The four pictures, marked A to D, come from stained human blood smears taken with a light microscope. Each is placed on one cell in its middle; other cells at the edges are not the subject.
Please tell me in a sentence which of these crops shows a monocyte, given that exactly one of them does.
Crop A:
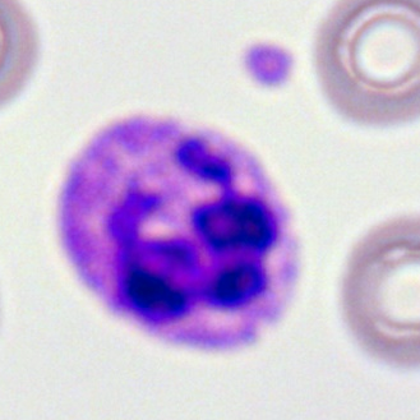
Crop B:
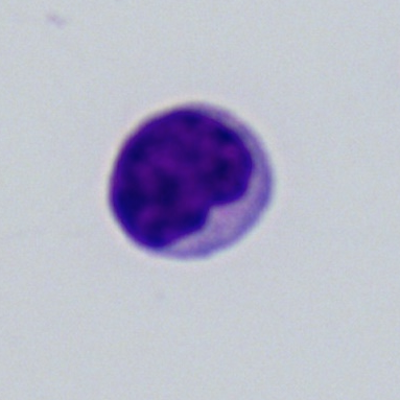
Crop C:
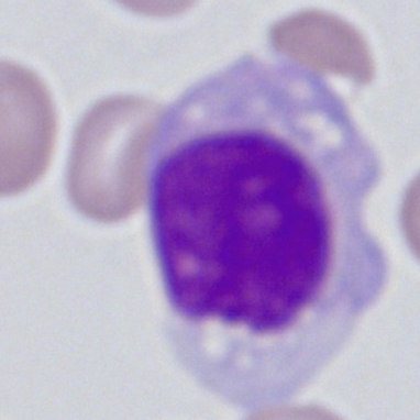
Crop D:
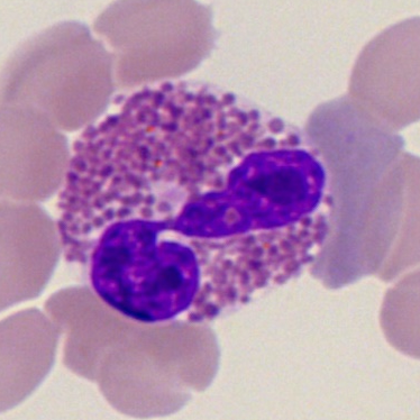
The one that shows a monocyte is crop C.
